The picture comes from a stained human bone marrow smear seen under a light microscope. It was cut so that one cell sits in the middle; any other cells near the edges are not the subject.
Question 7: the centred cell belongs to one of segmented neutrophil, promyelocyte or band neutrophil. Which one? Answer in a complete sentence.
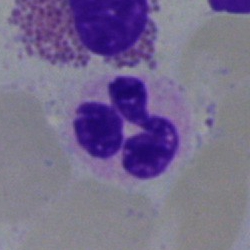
The cell centred in this crop is categorized as a segmented neutrophil.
